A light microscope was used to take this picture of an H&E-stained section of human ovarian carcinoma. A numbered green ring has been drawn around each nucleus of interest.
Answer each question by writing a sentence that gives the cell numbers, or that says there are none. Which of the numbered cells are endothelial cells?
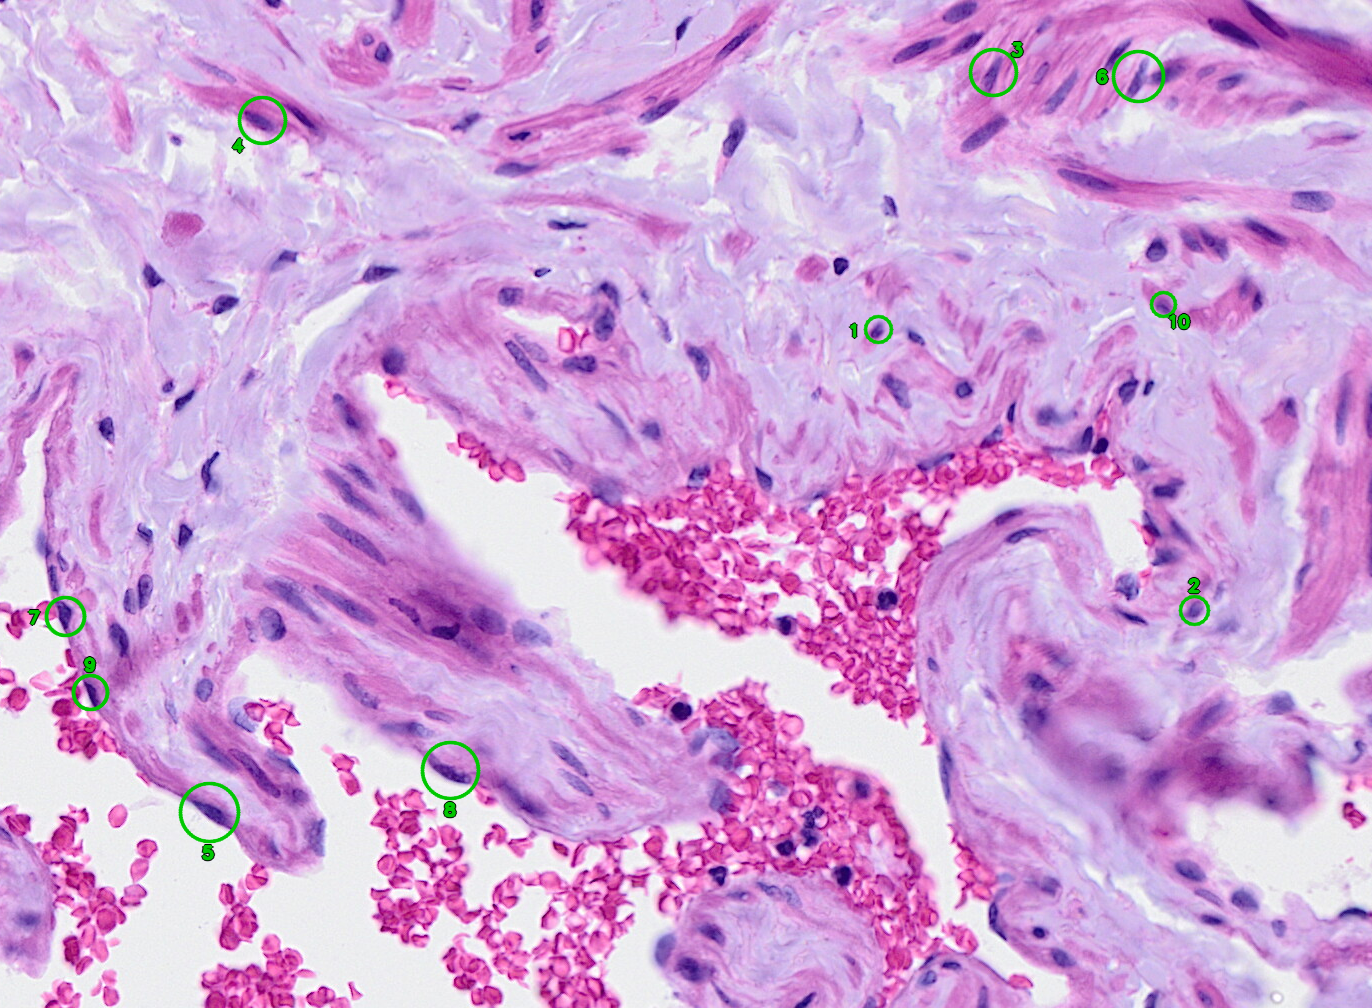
The cells with the number labels 5, 7, 8 and 9 are endothelial cells.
